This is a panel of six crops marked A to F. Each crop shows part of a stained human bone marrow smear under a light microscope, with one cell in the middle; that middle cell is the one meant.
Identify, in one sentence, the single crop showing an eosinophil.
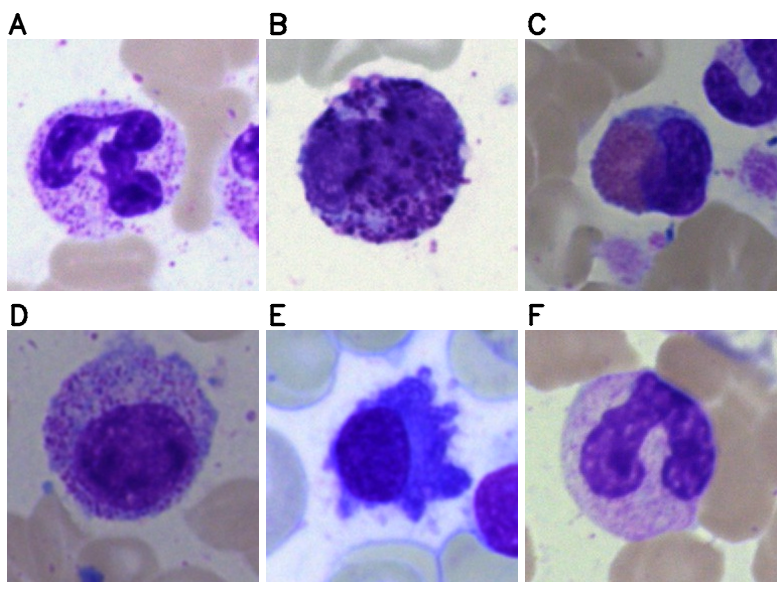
Crop C is the one to choose: it shows an eosinophil.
